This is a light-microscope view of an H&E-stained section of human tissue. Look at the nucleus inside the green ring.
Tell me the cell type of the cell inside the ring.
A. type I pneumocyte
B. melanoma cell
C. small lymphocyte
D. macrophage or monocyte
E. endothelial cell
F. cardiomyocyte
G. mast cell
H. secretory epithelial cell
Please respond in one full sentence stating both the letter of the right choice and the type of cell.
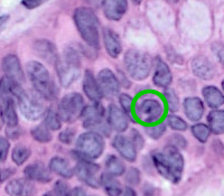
Of all the options, H is right, since the cell inside the ring is a secretory epithelial cell.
